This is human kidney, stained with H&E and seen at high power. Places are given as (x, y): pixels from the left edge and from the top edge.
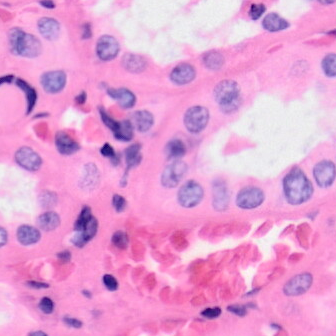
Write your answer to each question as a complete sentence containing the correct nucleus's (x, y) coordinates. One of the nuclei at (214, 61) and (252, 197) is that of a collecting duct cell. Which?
The one belonging to a collecting duct cell is the nucleus at (252, 197), not the other.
